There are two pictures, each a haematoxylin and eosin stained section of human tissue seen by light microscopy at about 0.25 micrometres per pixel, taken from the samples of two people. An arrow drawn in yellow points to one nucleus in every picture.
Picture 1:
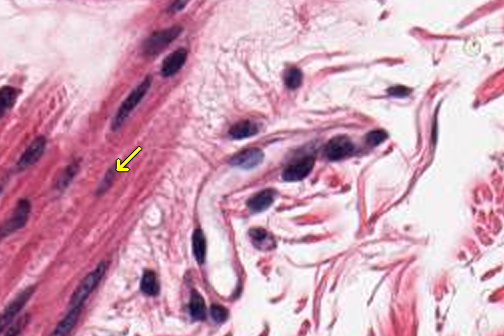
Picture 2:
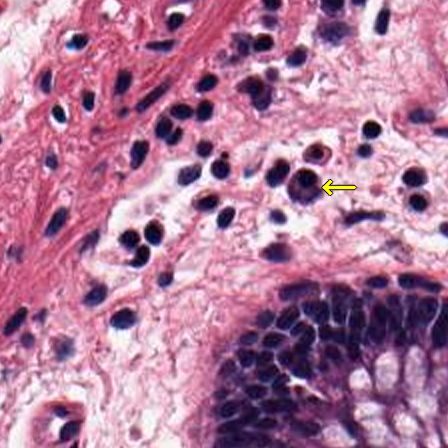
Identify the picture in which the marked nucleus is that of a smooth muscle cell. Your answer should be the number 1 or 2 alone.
1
